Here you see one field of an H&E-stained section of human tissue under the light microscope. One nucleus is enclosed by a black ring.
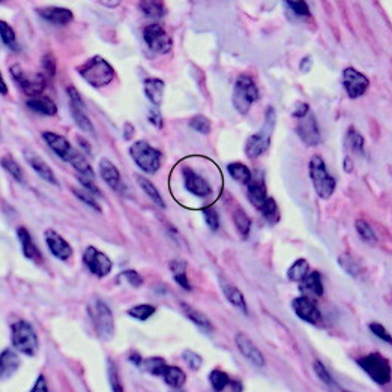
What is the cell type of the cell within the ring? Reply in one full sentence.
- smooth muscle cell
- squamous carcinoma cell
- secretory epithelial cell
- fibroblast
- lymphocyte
As classified here, the cell within the ring is a lymphocyte.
